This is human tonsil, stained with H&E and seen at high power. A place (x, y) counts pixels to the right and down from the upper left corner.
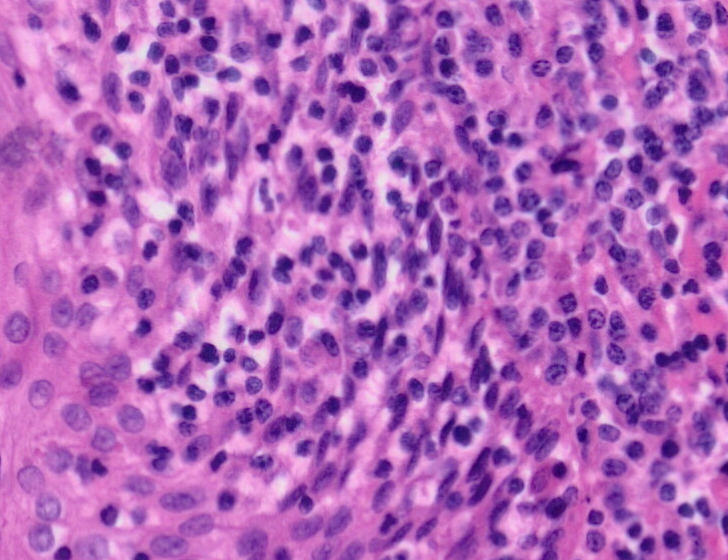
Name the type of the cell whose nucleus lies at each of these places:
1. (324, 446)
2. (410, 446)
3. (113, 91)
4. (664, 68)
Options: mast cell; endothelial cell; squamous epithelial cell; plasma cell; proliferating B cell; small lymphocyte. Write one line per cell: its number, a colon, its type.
1: squamous epithelial cell
2: squamous epithelial cell
3: squamous epithelial cell
4: plasma cell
